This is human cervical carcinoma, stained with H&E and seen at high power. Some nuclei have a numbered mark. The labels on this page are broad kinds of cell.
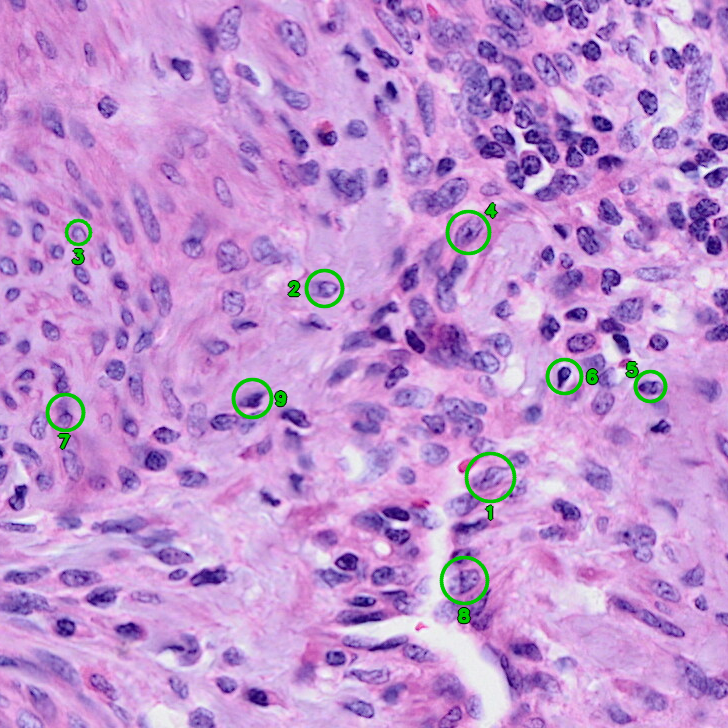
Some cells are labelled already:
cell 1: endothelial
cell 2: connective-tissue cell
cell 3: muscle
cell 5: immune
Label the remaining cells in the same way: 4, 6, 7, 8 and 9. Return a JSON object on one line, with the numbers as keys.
{"4": "endothelial", "6": "immune", "7": "muscle", "8": "endothelial", "9": "immune"}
